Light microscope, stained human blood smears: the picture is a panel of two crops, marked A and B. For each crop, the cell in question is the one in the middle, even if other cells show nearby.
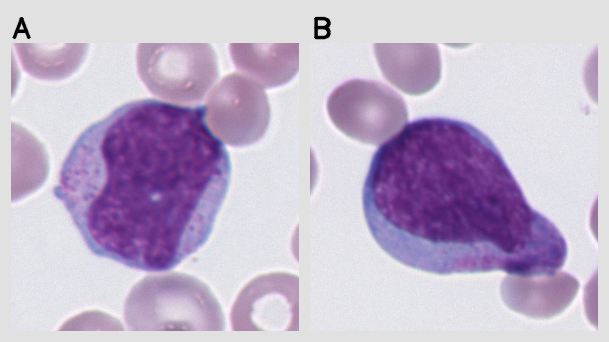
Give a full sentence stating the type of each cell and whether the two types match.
Yes, the centred cells are atypical promyelocytes in both crops.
